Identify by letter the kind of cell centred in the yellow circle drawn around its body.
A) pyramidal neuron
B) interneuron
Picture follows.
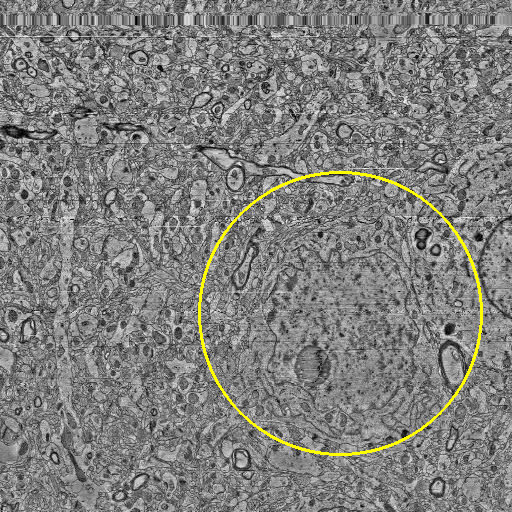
B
